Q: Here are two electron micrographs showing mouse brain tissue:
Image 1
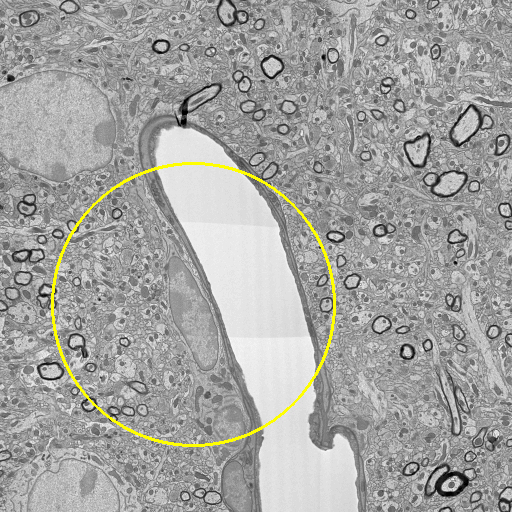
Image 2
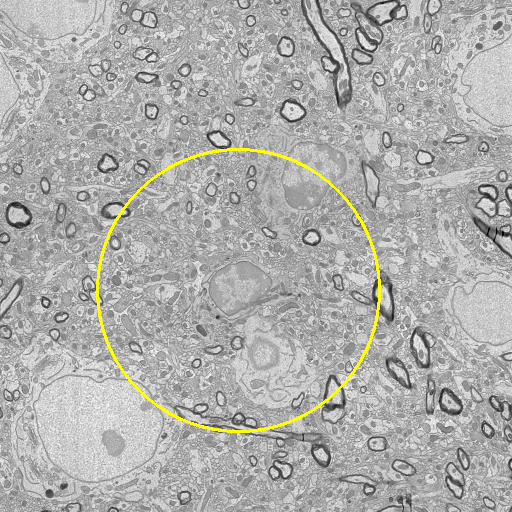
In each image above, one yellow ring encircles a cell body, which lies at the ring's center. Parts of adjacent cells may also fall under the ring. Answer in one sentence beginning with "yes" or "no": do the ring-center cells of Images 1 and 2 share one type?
Yes, in Images 1 and 2, the ring-center cells are both of one type.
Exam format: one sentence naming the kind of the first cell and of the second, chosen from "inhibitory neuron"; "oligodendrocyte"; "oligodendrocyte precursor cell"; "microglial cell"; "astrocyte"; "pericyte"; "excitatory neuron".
The second cell is a microglial cell, just as the first is.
